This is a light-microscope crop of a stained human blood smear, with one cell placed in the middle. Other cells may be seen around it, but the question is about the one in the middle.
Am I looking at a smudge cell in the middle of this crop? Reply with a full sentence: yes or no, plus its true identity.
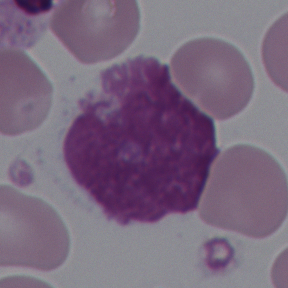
Yes, the cell located at the center is a smudge cell.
